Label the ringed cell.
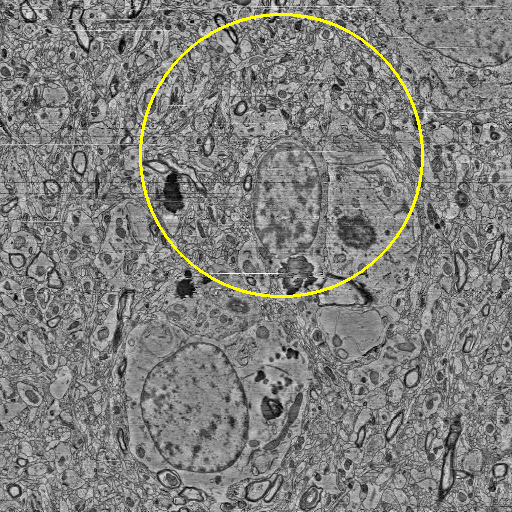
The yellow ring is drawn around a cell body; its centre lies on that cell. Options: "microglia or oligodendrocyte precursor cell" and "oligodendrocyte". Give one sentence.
The ringed cell is an oligodendrocyte.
